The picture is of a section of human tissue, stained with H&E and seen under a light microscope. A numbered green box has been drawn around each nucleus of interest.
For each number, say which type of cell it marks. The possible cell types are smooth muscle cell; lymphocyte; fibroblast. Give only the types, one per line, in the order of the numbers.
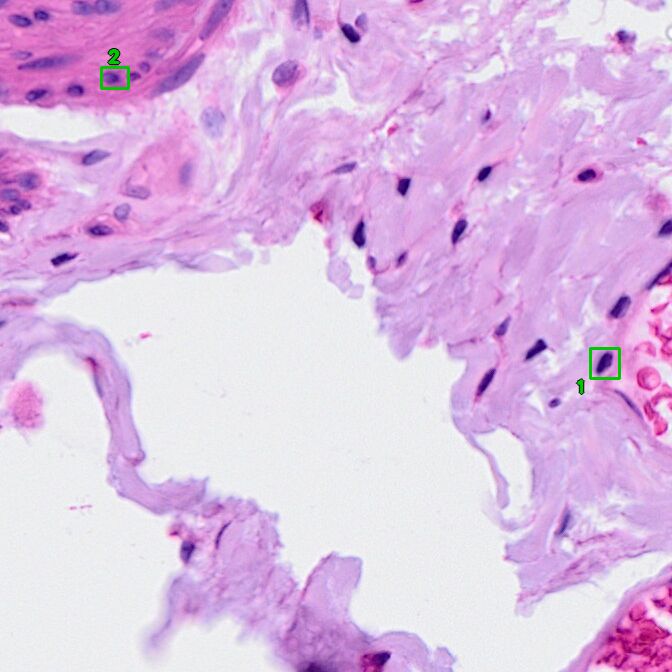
lymphocyte
smooth muscle cell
